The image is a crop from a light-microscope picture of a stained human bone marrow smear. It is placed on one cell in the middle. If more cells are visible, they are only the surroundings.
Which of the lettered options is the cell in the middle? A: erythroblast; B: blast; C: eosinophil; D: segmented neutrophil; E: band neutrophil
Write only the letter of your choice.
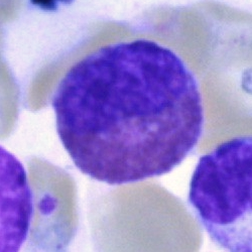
C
